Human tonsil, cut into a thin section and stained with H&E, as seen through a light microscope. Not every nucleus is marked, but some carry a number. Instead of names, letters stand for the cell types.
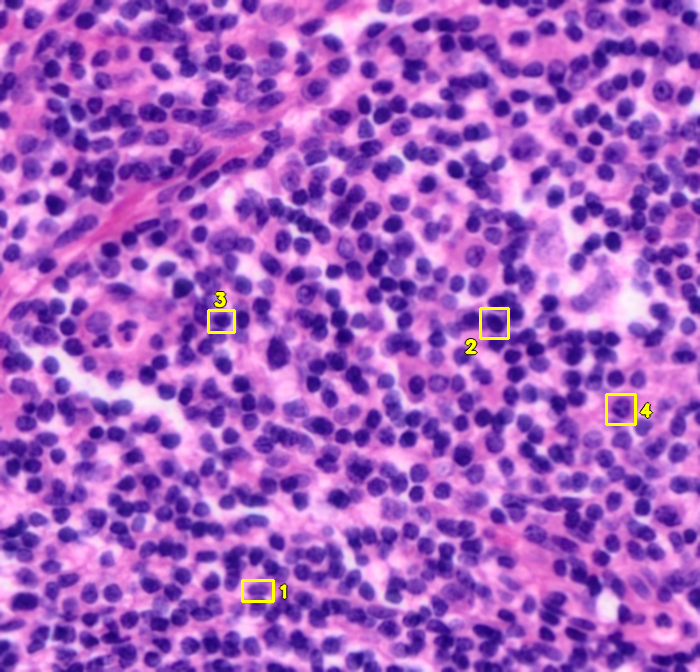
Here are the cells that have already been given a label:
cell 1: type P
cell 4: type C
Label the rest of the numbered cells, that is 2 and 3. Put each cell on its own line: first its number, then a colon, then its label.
2: type P
3: type P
